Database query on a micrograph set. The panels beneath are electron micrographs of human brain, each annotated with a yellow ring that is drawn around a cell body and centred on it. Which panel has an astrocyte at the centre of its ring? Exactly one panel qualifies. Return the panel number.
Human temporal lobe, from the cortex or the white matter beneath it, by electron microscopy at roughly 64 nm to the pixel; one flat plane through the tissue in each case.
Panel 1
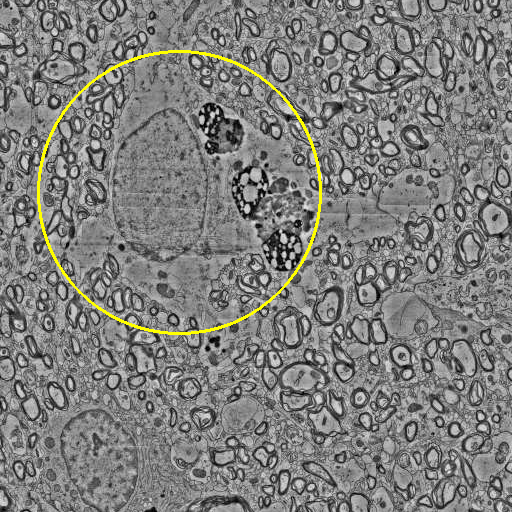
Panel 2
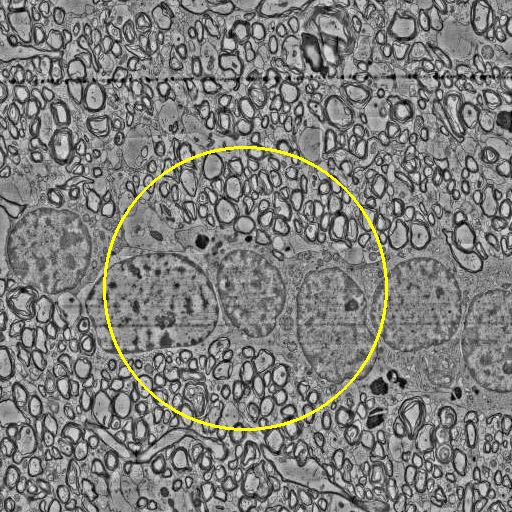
1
